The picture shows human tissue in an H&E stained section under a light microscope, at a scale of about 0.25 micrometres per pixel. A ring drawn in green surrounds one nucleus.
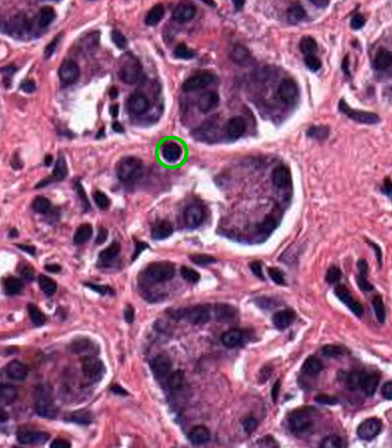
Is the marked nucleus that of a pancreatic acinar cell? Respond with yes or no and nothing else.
no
